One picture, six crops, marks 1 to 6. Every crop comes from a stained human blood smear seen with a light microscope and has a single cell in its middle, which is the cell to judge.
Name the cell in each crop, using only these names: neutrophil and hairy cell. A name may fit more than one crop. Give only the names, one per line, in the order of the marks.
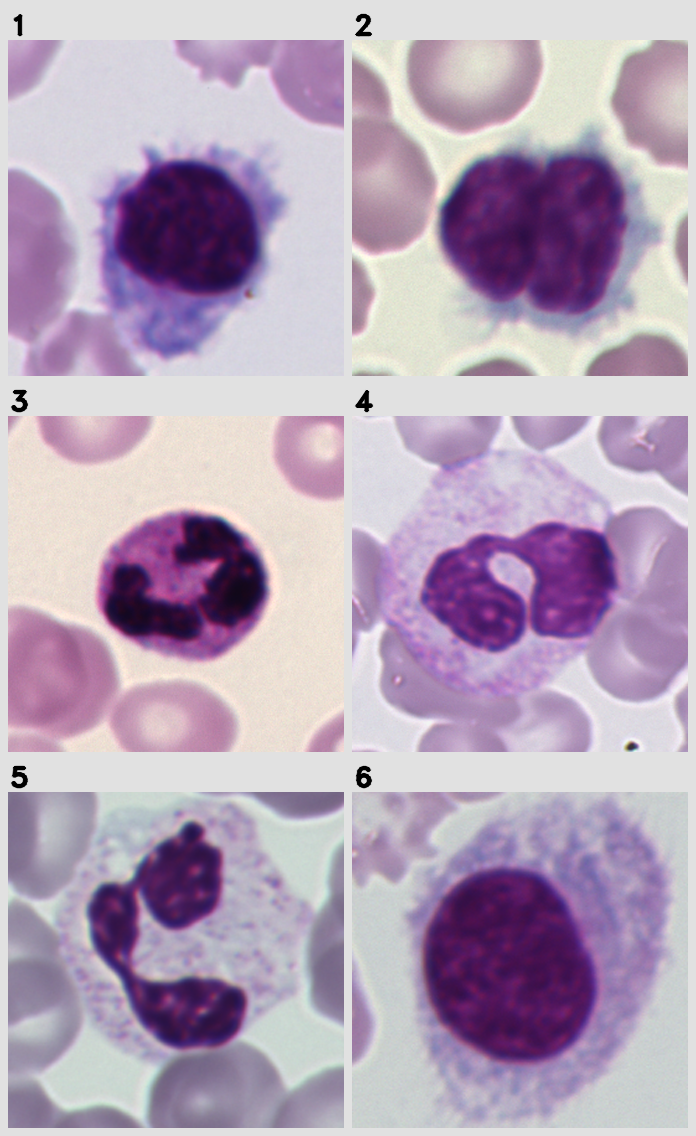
hairy cell
hairy cell
neutrophil
neutrophil
neutrophil
hairy cell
